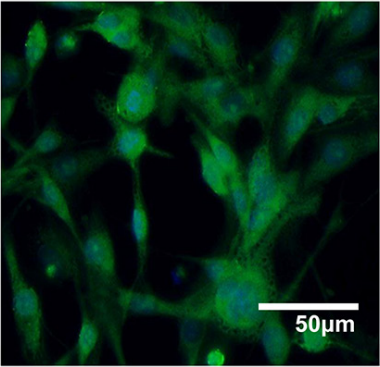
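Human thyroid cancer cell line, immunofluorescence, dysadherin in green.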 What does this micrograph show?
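Green fills the cytoplasm diffusely and somewhat granularly rather than only the cell borders. Each cell has a single oval nucleus in pale blue, partly veiled by the green. The cells overlap and connect by their processes, with dark spaces between groups.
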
